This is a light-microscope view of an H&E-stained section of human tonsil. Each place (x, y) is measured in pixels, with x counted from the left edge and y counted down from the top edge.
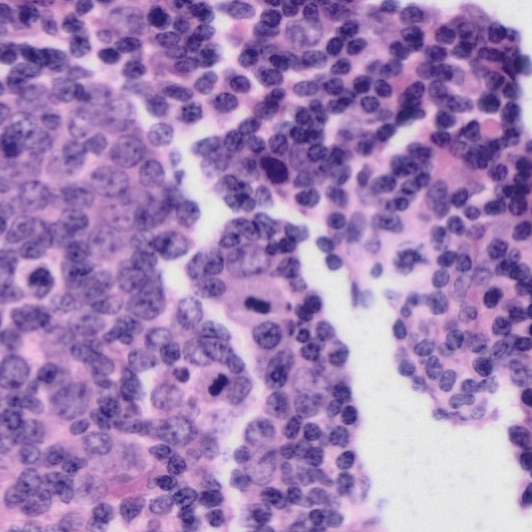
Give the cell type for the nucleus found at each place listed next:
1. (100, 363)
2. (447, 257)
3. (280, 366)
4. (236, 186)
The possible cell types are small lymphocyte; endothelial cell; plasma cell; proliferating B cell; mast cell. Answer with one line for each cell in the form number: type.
1: proliferating B cell
2: small lymphocyte
3: proliferating B cell
4: proliferating B cell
